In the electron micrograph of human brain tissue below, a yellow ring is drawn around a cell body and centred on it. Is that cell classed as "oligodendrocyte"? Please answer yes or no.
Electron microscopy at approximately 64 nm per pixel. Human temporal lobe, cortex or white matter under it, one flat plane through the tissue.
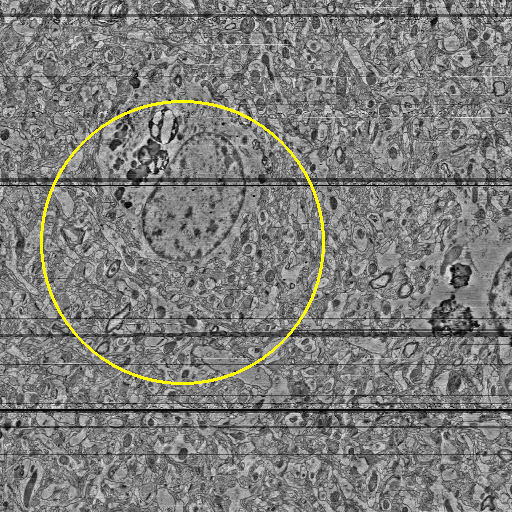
no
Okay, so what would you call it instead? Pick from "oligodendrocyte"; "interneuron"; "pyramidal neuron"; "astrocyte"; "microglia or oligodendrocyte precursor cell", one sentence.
The correct answer is that the cell is an astrocyte.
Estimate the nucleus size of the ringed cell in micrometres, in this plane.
Roughly 9 by 6 micrometres is the size of the nucleus in this plane.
